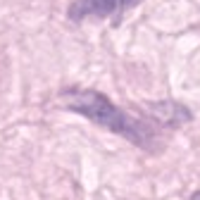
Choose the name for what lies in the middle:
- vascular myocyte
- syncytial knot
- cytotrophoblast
vascular myocyte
